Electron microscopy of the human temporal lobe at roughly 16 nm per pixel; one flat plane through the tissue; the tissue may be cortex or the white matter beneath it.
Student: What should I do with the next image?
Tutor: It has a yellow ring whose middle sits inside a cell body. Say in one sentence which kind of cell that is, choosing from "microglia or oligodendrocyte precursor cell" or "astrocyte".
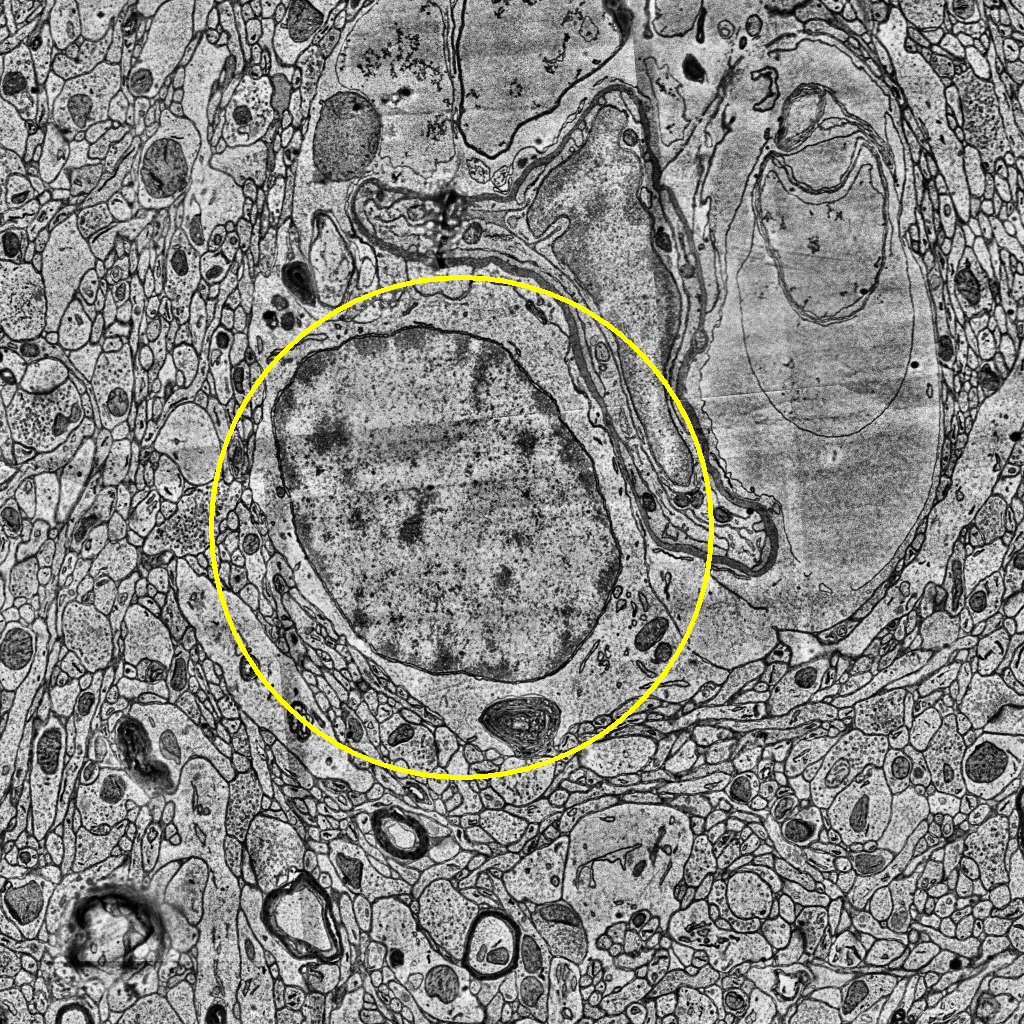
The ring's centre is occupied by a microglial cell or oligodendrocyte precursor cell.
